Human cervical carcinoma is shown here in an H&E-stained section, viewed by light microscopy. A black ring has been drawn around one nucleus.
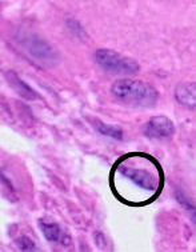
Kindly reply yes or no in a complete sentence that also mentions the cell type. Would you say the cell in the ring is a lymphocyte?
No, instead of a lymphocyte, the cell in the ring is a fibroblast.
